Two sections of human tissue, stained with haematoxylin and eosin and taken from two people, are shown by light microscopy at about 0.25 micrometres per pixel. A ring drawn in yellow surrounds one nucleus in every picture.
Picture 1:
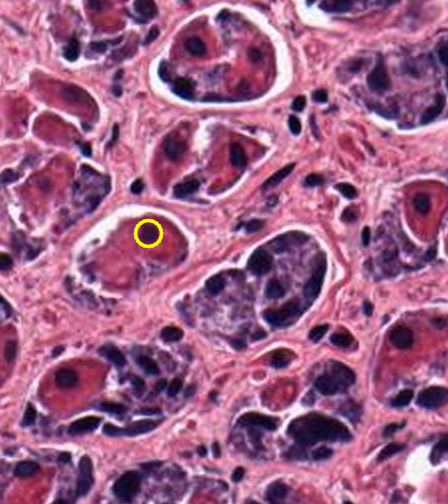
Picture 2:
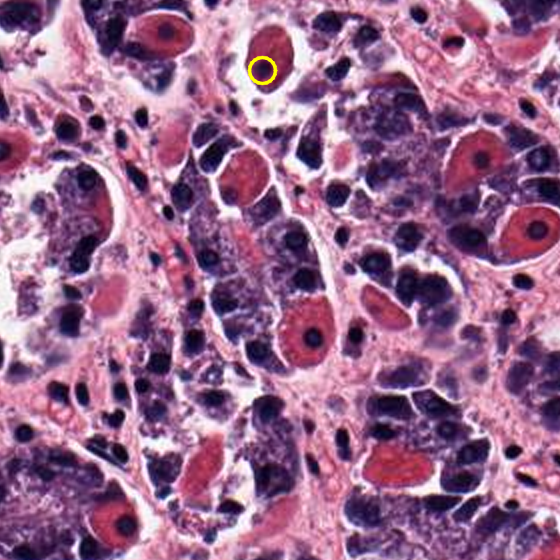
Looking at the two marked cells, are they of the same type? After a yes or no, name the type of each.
Yes, both are parietal cells.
